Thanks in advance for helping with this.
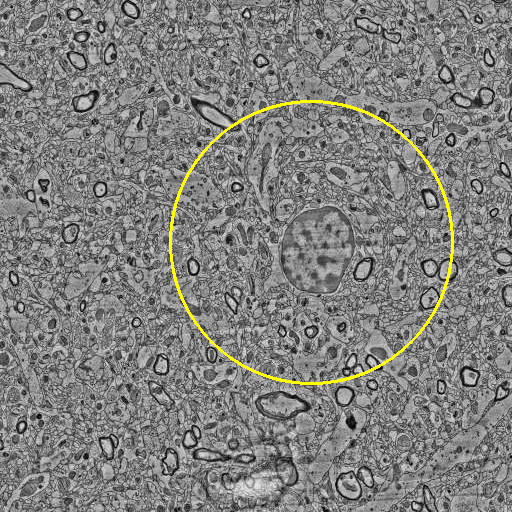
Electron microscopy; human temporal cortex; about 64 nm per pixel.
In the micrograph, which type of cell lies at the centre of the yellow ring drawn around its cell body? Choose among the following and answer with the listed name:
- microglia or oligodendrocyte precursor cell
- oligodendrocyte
microglia or oligodendrocyte precursor cell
